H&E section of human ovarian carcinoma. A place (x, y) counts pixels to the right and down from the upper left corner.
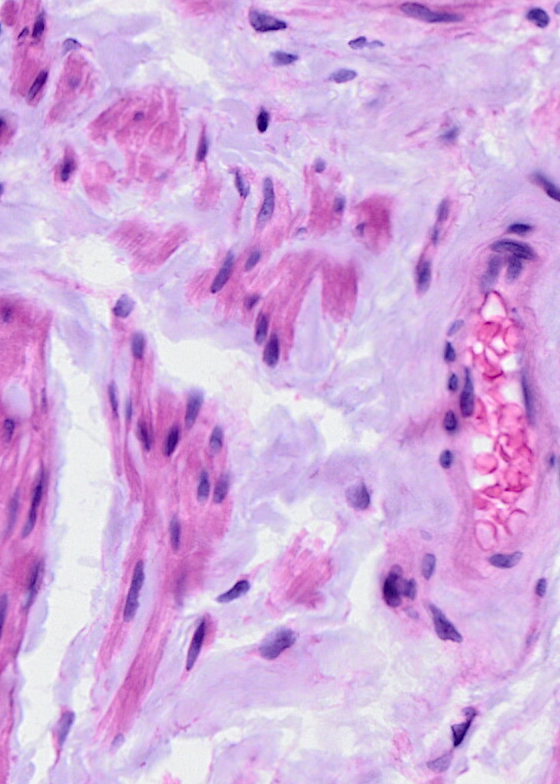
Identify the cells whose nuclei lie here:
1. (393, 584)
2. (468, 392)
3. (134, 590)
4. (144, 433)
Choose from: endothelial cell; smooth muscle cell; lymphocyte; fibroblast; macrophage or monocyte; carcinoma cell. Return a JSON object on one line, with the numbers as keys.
{"1": "endothelial cell", "2": "endothelial cell", "3": "smooth muscle cell", "4": "smooth muscle cell"}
